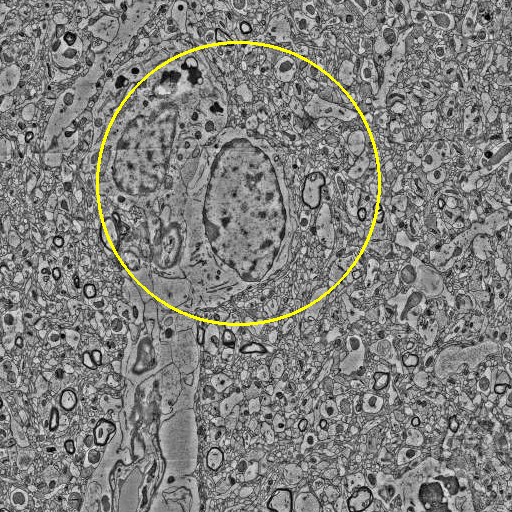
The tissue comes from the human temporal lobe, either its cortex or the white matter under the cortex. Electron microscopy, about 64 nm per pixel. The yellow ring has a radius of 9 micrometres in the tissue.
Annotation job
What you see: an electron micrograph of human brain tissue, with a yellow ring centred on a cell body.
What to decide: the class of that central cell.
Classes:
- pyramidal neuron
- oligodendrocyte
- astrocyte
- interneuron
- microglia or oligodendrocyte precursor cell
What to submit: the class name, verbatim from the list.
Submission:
microglia or oligodendrocyte precursor cell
